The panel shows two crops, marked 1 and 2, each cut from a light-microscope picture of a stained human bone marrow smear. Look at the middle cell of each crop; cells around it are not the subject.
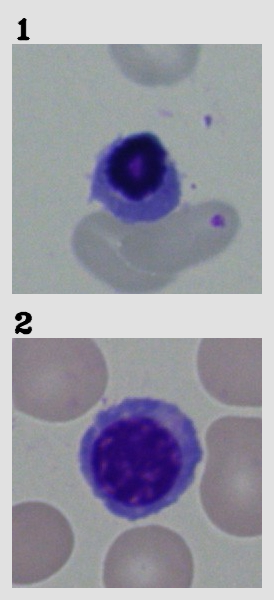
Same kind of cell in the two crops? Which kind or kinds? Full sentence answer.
Yes, the two crops show normoblasts at their centres.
